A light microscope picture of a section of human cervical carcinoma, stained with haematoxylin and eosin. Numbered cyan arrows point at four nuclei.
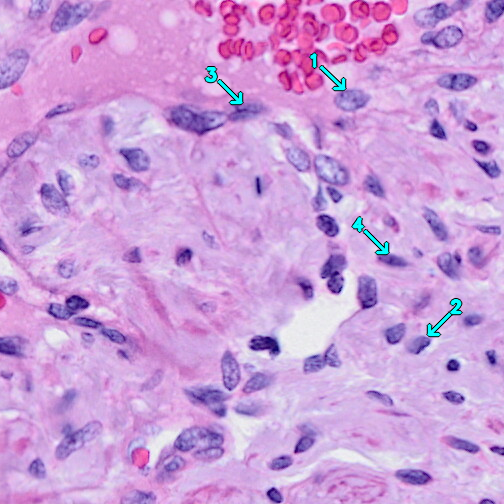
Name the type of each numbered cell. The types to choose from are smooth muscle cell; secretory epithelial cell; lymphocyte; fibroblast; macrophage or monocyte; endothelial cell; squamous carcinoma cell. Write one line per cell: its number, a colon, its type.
1: endothelial cell
2: fibroblast
3: endothelial cell
4: fibroblast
